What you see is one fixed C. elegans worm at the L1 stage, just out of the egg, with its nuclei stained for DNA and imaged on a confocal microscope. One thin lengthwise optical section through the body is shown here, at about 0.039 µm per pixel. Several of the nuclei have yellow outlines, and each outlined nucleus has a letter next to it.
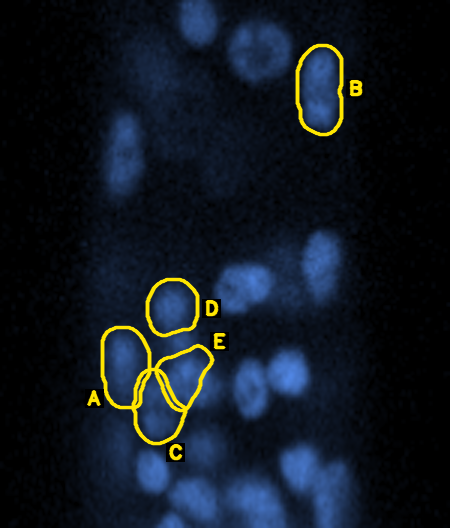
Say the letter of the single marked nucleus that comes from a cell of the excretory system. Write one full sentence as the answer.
A is from a cell of the excretory system.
